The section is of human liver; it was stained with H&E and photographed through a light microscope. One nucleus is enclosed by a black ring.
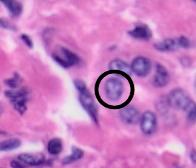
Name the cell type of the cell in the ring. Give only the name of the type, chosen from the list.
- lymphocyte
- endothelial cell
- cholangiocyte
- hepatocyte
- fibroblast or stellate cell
cholangiocyte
